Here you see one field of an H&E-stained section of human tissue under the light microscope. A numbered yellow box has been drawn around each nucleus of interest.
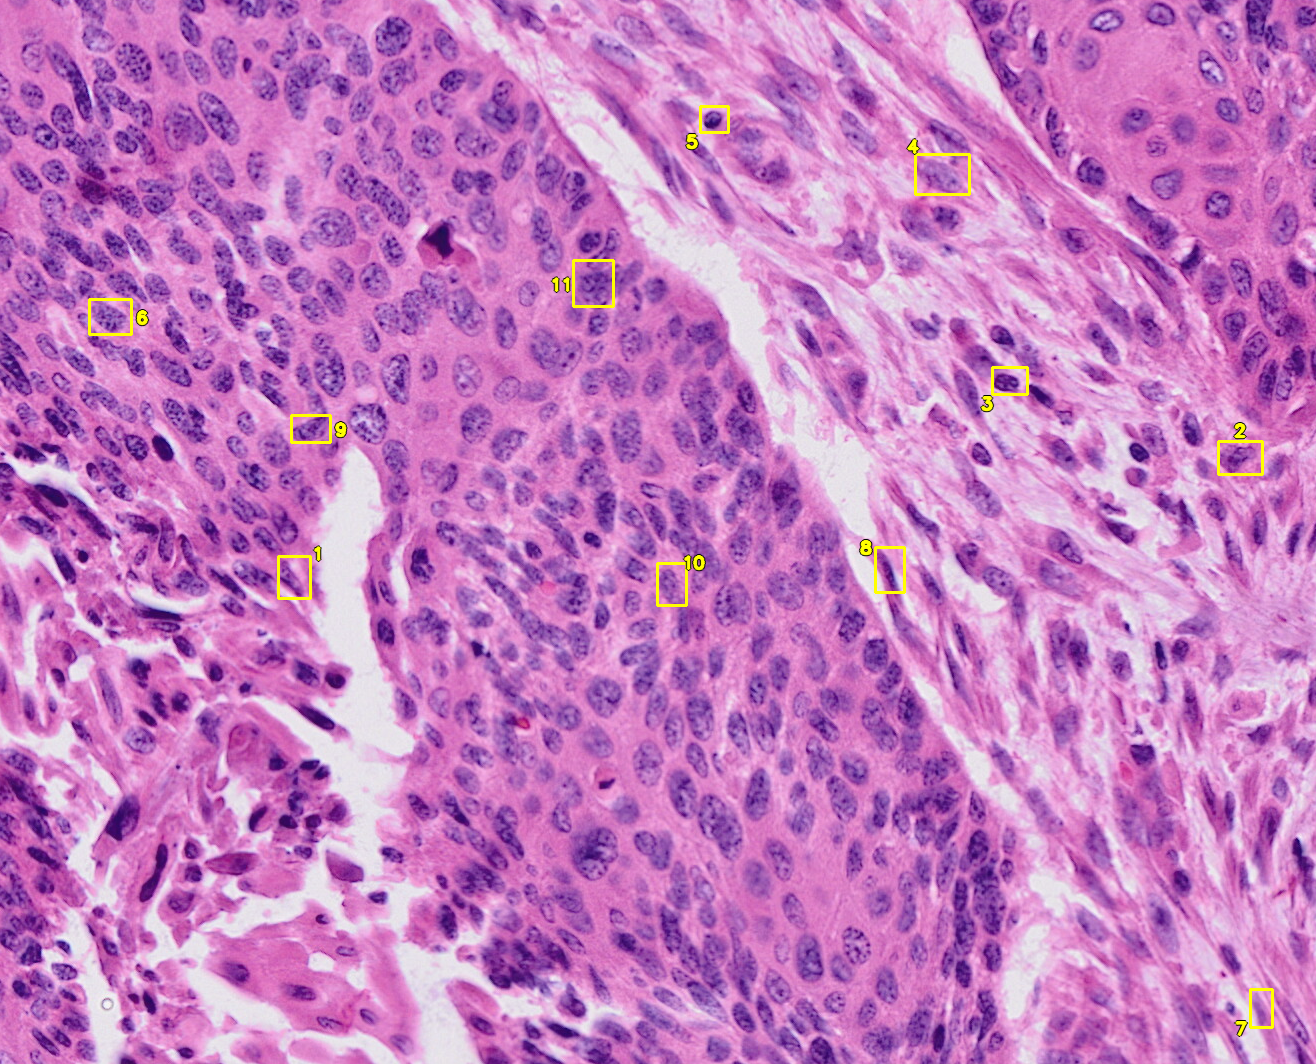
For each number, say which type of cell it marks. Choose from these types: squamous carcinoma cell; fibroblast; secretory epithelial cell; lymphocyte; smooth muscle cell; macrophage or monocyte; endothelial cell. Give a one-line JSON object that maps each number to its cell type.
{"1": "squamous carcinoma cell", "2": "macrophage or monocyte", "3": "lymphocyte", "4": "fibroblast", "5": "lymphocyte", "6": "squamous carcinoma cell", "7": "fibroblast", "8": "fibroblast", "9": "squamous carcinoma cell", "10": "squamous carcinoma cell", "11": "squamous carcinoma cell"}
